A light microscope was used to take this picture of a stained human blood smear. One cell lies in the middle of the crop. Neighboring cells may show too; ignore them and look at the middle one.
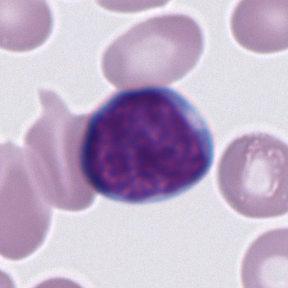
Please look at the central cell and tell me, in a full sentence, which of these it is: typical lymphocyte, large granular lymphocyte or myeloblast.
The crop's centre is taken up by a typical lymphocyte.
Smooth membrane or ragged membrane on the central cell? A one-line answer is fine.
There are no projections here; the outline is simply smooth.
